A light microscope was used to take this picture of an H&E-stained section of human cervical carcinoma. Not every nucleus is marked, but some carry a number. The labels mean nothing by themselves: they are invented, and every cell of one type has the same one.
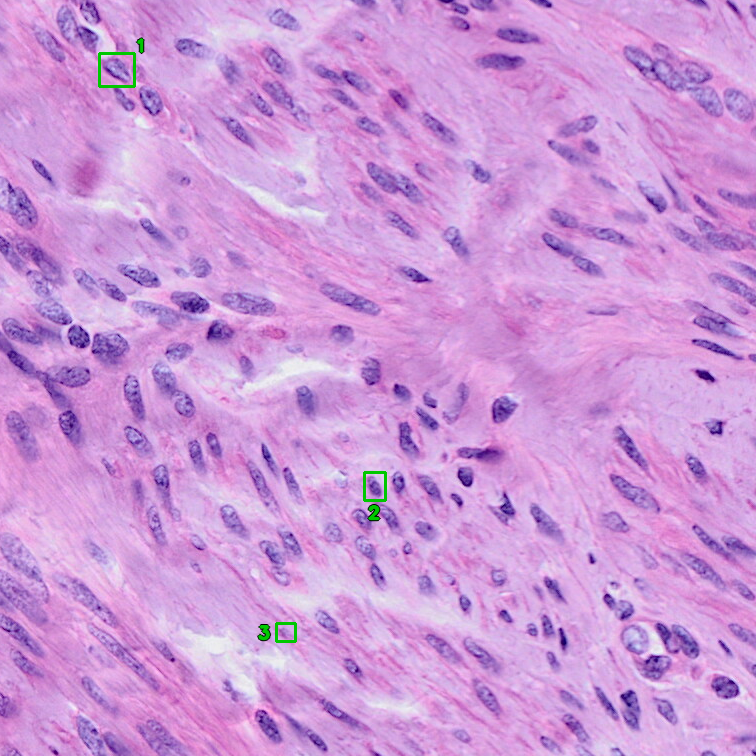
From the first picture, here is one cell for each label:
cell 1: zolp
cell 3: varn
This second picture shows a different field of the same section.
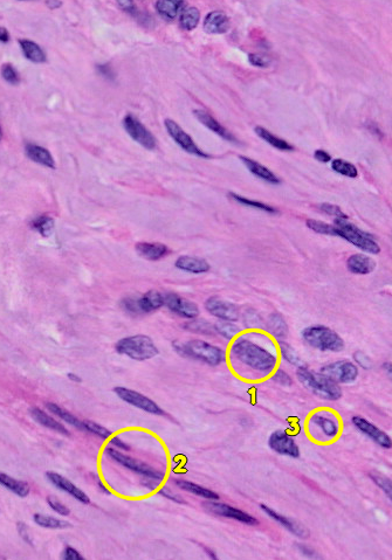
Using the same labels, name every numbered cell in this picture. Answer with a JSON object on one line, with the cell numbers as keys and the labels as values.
{"1": "zolp", "2": "zolp", "3": "varn"}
